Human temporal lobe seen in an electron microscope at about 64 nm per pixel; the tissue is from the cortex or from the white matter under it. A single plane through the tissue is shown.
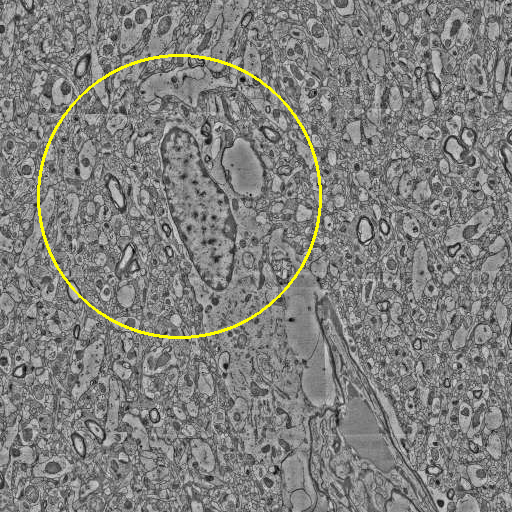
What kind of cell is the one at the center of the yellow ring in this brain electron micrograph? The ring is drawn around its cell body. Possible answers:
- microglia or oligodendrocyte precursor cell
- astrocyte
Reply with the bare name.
microglia or oligodendrocyte precursor cell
